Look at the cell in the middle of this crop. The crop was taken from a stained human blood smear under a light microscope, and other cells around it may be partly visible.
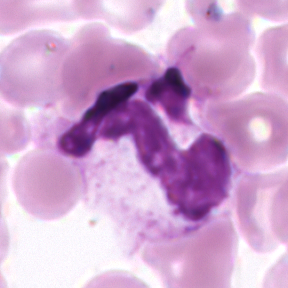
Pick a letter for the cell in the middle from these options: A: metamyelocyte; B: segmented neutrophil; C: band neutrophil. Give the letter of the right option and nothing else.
B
